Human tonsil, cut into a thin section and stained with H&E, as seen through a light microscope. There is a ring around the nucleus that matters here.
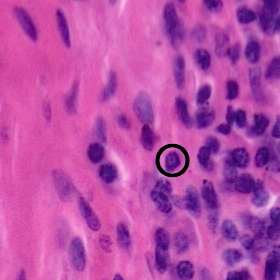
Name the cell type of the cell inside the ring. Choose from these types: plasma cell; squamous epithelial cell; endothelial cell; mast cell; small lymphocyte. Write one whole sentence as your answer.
Speaking plainly, the cell inside the ring is nothing other than a mast cell.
